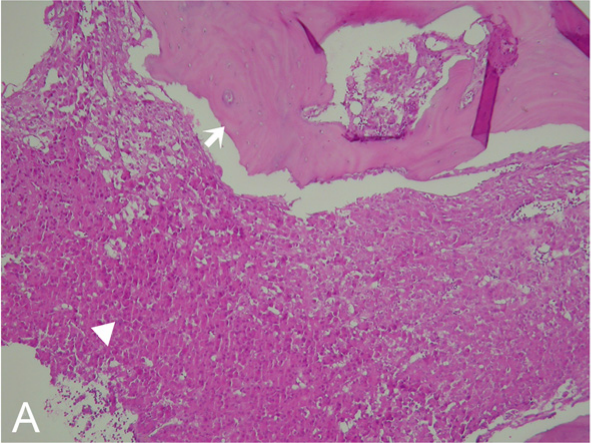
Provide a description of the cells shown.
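This section shows a densely cellular tumor lying right against bone. The tumor cells are polygonal, with ample pink cytoplasm and dark round nuclei, and they are packed into cords and plates separated by narrow clefts, giving a trabecular pattern. At the top lies a bone trabecula of smooth, pink, lamellated matrix with scattered small lacunae.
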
